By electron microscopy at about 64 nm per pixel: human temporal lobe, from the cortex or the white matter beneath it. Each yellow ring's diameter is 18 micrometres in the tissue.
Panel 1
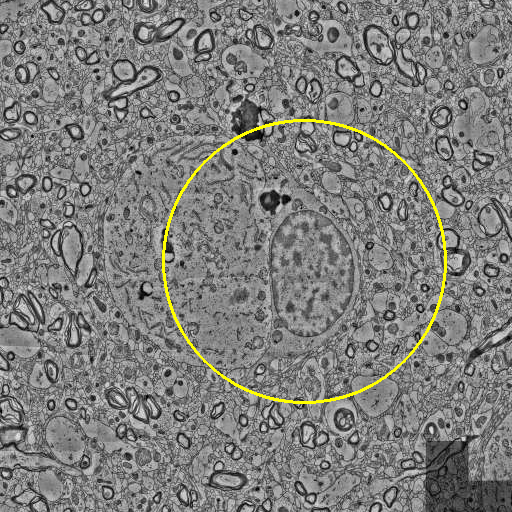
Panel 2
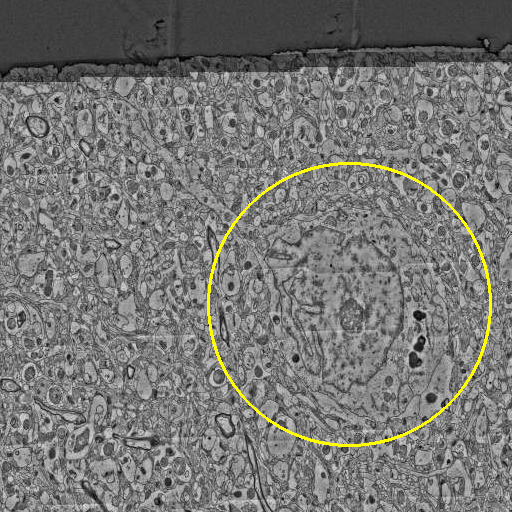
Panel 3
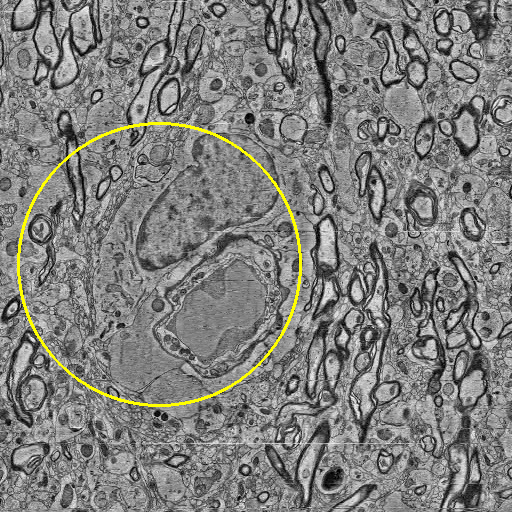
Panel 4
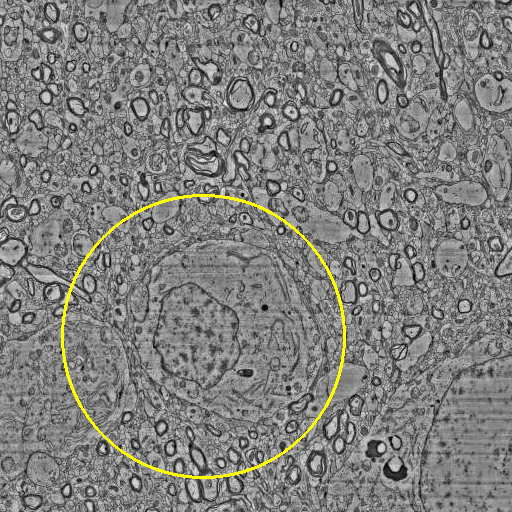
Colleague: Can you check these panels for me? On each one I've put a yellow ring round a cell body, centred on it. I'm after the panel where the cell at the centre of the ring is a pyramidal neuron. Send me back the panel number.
4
